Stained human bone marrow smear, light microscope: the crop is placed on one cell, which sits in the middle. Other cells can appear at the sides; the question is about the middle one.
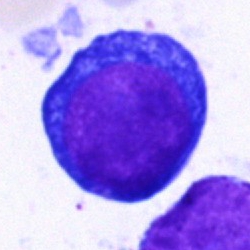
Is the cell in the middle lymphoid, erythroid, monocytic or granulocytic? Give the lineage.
erythroid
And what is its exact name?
proerythroblast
